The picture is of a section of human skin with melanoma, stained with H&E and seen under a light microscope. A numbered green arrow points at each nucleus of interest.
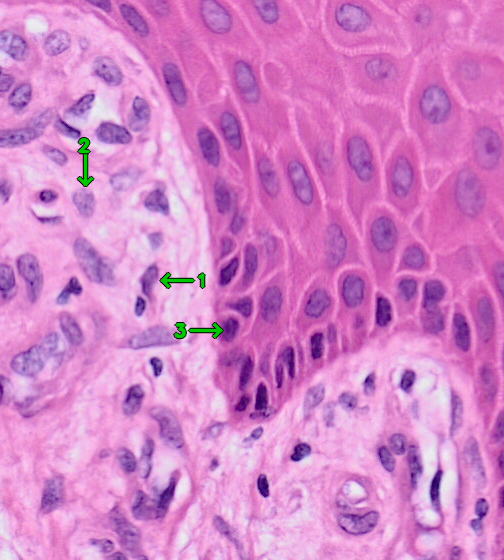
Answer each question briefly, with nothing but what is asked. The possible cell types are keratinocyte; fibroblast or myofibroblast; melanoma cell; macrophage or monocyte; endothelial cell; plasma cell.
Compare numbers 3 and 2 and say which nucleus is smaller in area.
3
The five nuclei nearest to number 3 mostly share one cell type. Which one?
keratinocyte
